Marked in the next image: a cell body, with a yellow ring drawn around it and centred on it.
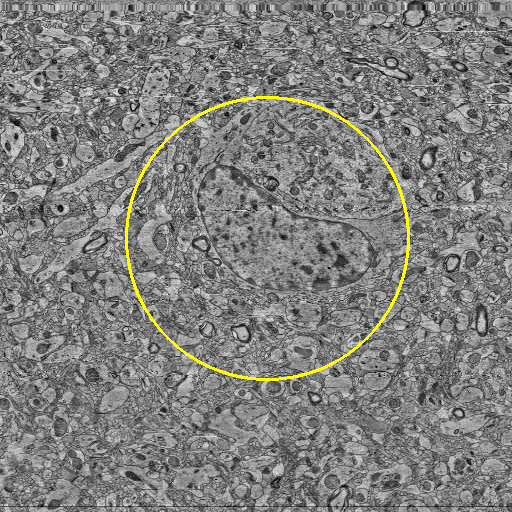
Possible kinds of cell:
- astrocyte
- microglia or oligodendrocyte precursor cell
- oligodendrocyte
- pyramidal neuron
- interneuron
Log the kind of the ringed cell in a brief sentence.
The ringed cell body is that of a microglial cell or oligodendrocyte precursor cell.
